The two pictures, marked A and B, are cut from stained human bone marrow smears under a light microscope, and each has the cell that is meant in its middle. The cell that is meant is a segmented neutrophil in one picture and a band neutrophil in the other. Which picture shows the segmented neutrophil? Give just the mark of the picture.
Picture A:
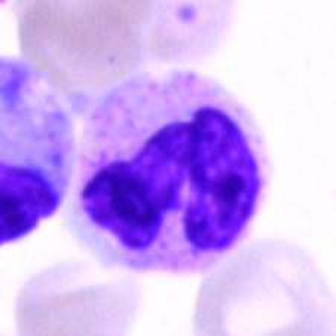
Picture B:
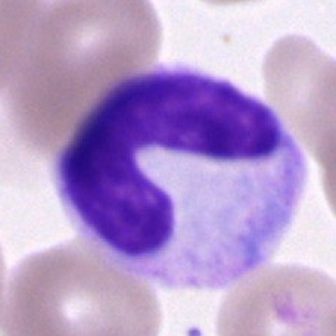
A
